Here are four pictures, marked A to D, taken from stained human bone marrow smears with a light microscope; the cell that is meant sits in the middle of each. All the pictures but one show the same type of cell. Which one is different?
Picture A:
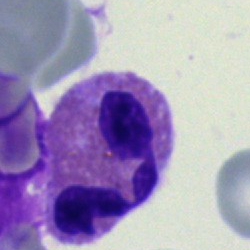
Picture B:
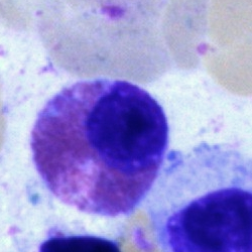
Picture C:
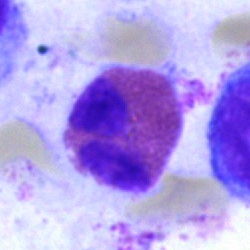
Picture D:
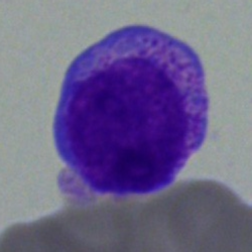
D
